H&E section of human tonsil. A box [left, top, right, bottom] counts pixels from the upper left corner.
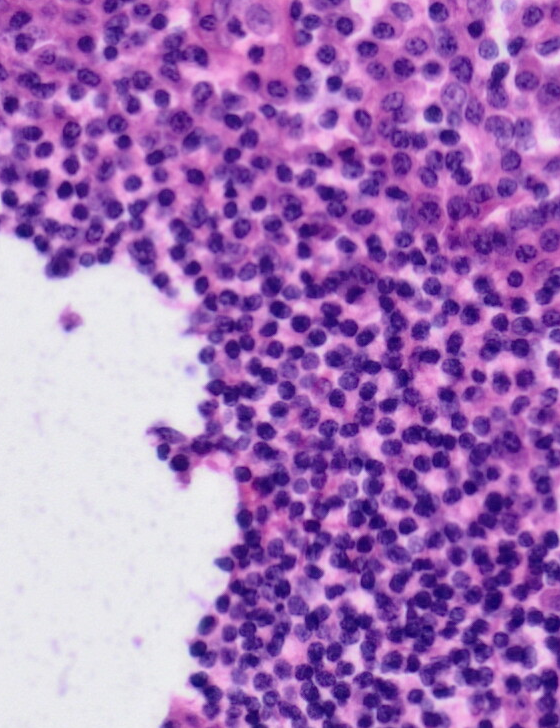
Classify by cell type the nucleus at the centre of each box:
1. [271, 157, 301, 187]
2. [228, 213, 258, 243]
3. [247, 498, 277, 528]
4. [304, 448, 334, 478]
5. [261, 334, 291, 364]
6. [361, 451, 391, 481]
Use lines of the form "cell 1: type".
cell 1: plasma cell
cell 2: plasma cell
cell 3: small lymphocyte
cell 4: small lymphocyte
cell 5: small lymphocyte
cell 6: small lymphocyte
